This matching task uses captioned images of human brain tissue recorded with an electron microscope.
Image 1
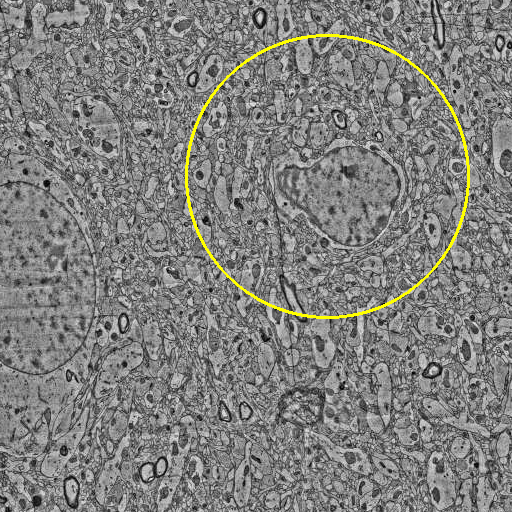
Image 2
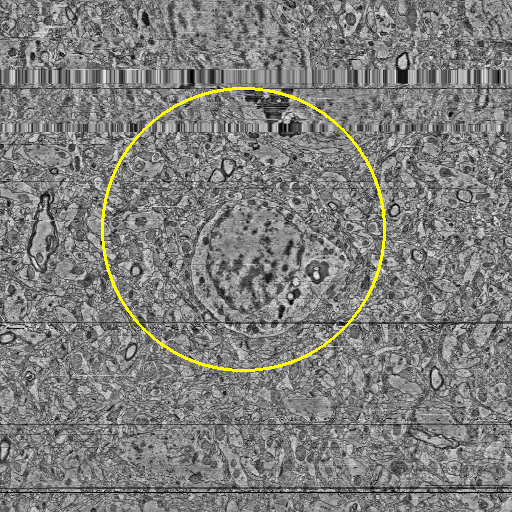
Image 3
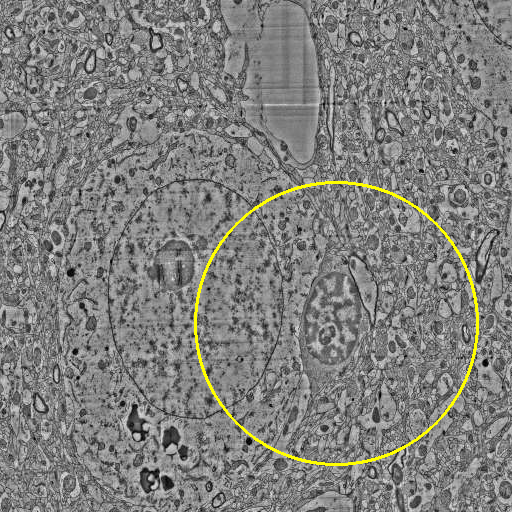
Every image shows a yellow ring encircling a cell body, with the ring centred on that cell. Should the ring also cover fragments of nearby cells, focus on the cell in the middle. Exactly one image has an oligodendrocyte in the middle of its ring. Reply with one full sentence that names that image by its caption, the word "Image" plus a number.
Image 3 shows the cell in question at the centre of its yellow ring.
